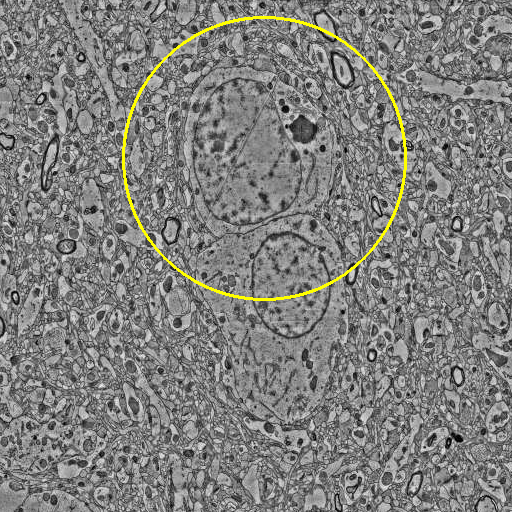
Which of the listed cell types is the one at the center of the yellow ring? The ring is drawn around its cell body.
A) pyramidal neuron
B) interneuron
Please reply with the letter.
B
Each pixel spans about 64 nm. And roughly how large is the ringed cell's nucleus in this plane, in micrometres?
In this plane, the nucleus of the cell at the centre of the ring measures about 9 by 8 micrometres.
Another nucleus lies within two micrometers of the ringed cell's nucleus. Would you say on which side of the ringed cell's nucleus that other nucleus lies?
The other nucleus sits below it.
